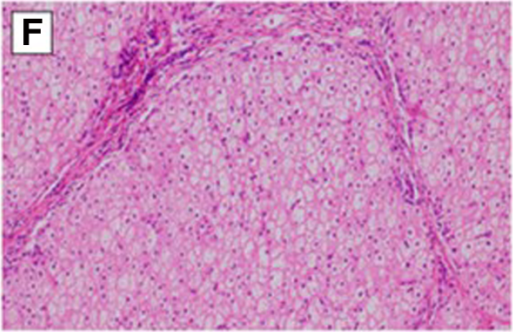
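A liver nodule of hepatocytes that are uniformly swollen, with clear pale cytoplasm and sharply drawn cell membranes, their nuclei small and central. A band of fibrous tissue with scattered nuclei borders the nodule at the upper left.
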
